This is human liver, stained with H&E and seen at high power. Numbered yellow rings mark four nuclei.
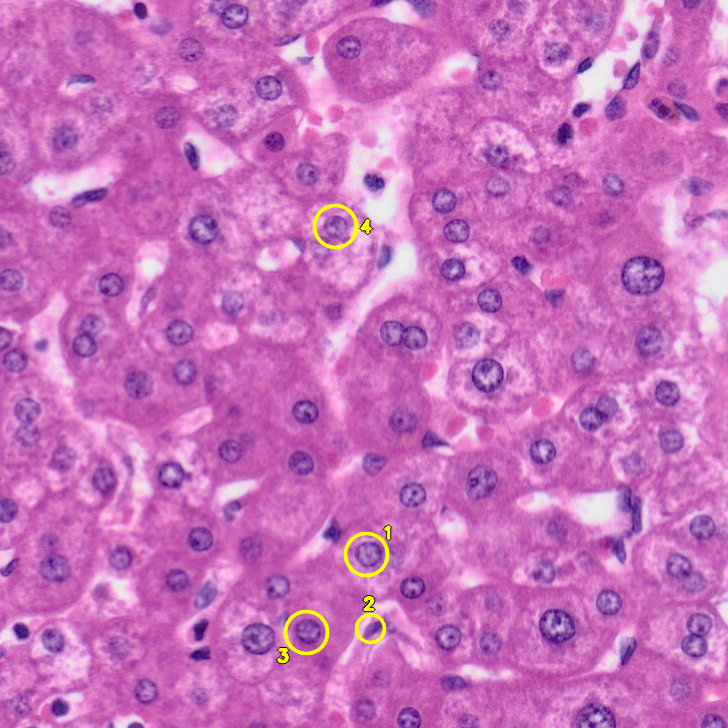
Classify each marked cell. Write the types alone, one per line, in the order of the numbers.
hepatocyte
Kupffer cell
hepatocyte
hepatocyte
